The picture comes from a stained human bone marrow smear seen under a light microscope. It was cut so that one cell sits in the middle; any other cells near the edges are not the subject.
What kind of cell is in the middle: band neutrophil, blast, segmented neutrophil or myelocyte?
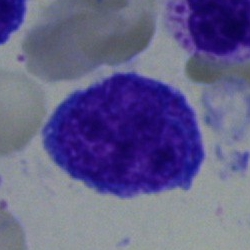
blast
